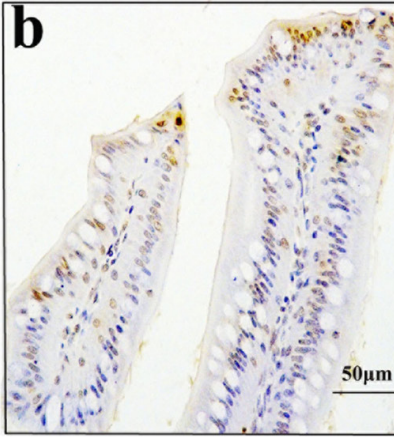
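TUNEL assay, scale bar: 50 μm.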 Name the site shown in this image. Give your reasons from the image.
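The free ends of the projections lie toward the top of the image.
Hence: apical regions.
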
